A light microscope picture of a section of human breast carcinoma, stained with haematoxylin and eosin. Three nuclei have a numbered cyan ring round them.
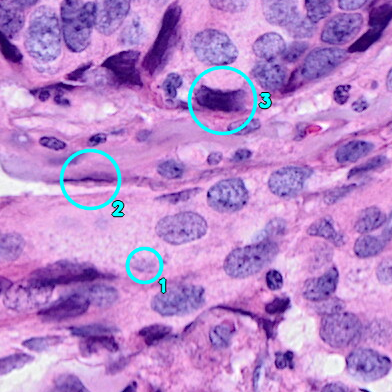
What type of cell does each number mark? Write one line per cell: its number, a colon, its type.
1: carcinoma cell
2: fibroblast
3: carcinoma cell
